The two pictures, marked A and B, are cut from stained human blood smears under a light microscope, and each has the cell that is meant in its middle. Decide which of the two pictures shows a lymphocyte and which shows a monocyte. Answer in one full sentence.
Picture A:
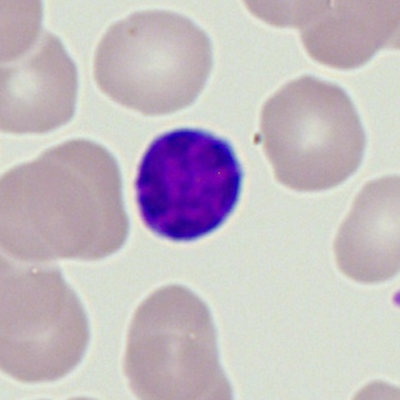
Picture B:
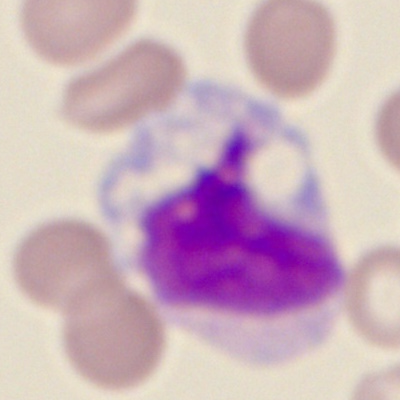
It is picture A that shows a lymphocyte, and picture B that shows a monocyte.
